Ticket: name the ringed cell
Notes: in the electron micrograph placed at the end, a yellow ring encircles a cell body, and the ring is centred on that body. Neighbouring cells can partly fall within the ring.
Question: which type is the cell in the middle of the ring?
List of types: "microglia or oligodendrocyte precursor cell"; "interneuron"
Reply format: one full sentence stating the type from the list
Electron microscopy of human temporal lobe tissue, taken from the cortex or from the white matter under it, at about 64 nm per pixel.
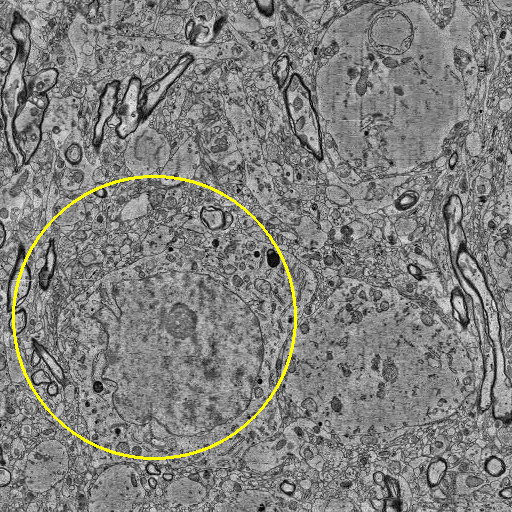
The cell sitting at the centre of the yellow ring is an interneuron.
